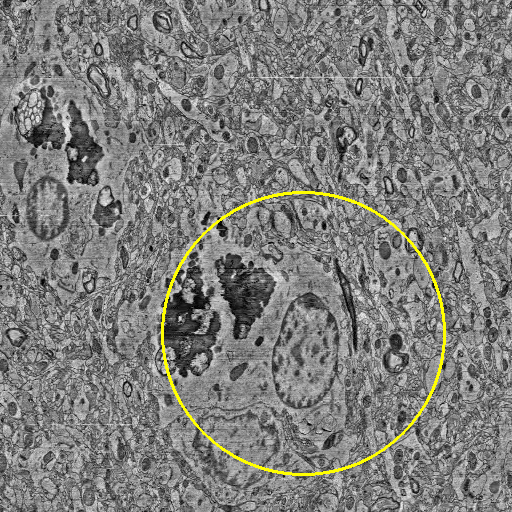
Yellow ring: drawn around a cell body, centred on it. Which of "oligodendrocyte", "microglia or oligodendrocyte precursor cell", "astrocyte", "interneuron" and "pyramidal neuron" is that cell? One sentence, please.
That cell body is from an astrocyte.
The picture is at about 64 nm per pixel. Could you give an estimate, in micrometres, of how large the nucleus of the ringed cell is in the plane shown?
Approximately 7 micrometres long and 4 micrometres wide, so clearly longer than it is wide in this plane.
